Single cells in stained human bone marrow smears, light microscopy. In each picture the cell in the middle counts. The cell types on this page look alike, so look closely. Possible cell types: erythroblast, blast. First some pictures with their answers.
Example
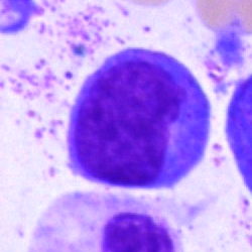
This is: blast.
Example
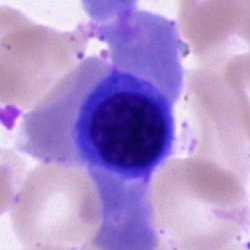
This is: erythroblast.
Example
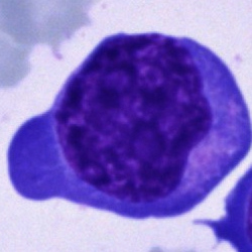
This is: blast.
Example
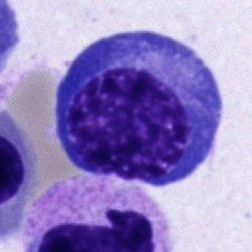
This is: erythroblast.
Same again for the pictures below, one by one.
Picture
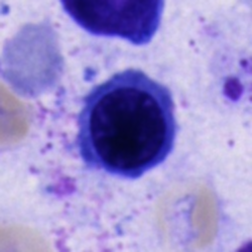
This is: erythroblast.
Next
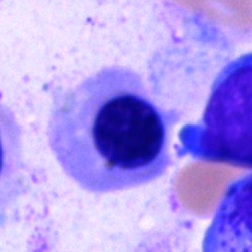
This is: erythroblast.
